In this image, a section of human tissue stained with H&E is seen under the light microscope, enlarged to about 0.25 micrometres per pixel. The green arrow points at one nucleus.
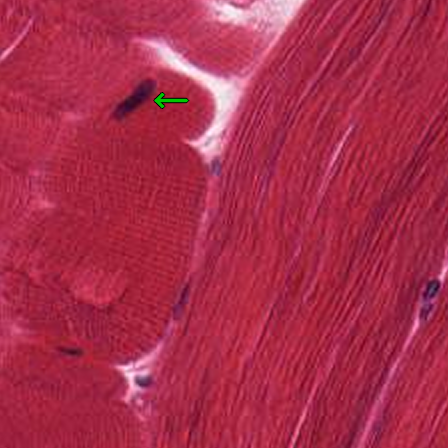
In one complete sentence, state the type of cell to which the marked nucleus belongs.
The cell bearing the marked nucleus is a skeletal muscle fibre.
